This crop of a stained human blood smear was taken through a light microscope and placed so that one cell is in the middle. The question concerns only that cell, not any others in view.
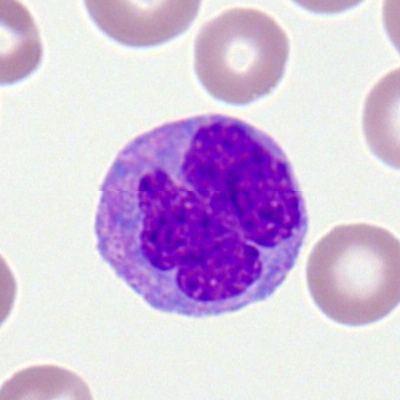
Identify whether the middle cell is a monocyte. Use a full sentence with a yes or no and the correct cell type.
Yes, the cell at the heart of the crop is a monocyte.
